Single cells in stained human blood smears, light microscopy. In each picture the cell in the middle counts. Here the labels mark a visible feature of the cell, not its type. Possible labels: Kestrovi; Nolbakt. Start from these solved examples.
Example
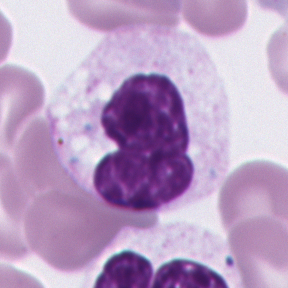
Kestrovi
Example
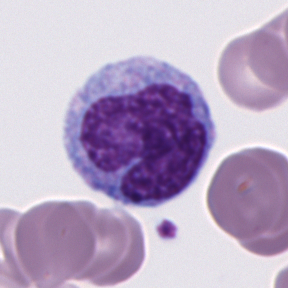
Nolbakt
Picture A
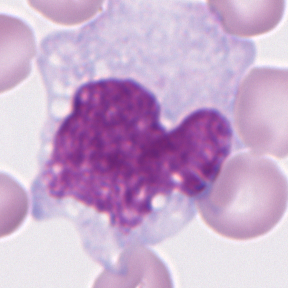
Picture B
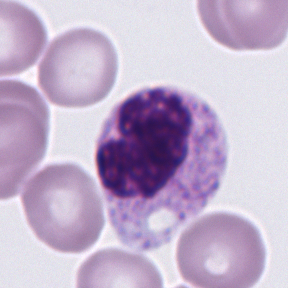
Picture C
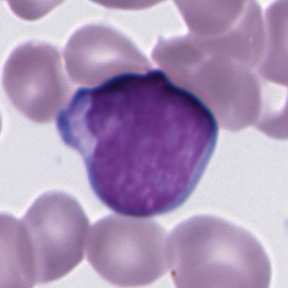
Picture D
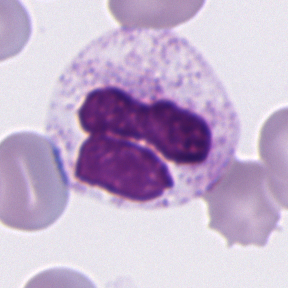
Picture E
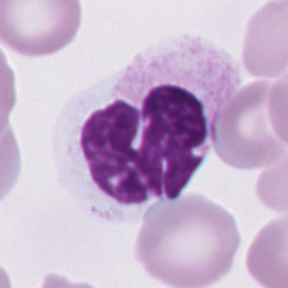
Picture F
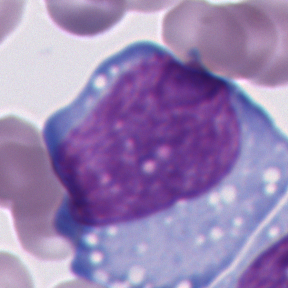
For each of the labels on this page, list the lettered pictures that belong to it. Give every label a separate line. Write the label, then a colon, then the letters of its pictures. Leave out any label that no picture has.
Kestrovi: A, B, F
Nolbakt: C, D, E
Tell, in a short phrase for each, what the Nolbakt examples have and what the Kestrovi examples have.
Seen in Nolbakt: no vacuoles; seen in Kestrovi: vacuoles present.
